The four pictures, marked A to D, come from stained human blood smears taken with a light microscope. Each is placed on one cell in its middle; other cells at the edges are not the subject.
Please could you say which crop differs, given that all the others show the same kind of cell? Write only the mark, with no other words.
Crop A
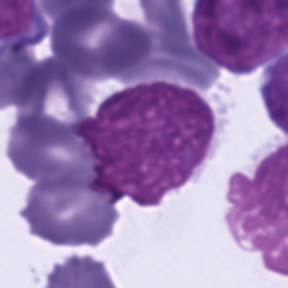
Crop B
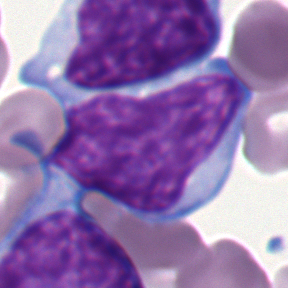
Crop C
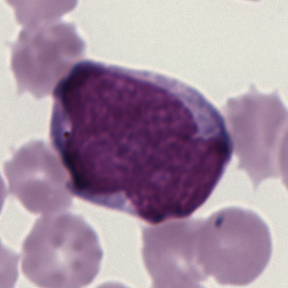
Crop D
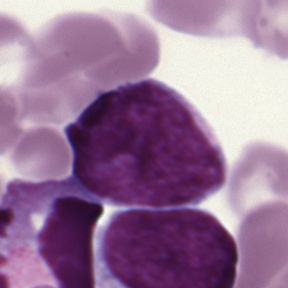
A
